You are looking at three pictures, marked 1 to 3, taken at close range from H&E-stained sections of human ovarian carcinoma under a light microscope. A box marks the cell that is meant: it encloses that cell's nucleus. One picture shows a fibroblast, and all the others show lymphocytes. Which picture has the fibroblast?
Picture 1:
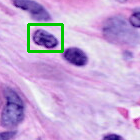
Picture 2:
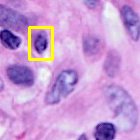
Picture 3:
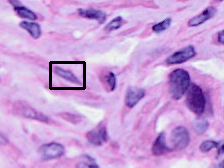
3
